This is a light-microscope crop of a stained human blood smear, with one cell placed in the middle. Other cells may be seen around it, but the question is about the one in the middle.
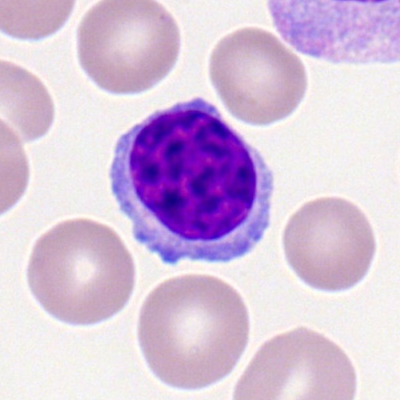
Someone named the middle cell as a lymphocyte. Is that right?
yes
